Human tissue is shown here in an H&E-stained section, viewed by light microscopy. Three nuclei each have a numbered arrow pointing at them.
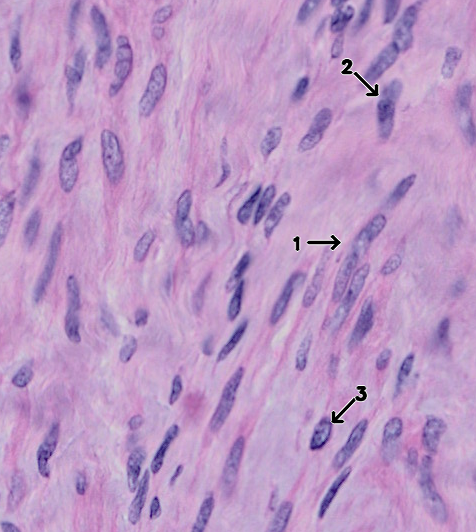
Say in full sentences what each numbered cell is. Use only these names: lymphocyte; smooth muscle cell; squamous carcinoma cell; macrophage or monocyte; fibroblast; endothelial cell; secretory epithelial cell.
Cell 1 is a smooth muscle cell, cell 2 is a fibroblast and cell 3 is a smooth muscle cell.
